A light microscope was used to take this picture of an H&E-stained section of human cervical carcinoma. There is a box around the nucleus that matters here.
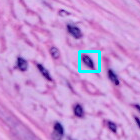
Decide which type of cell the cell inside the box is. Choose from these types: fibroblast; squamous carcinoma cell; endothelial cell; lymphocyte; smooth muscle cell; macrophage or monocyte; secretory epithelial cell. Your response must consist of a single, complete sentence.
So far as cell type goes, the cell inside the box is a smooth muscle cell.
